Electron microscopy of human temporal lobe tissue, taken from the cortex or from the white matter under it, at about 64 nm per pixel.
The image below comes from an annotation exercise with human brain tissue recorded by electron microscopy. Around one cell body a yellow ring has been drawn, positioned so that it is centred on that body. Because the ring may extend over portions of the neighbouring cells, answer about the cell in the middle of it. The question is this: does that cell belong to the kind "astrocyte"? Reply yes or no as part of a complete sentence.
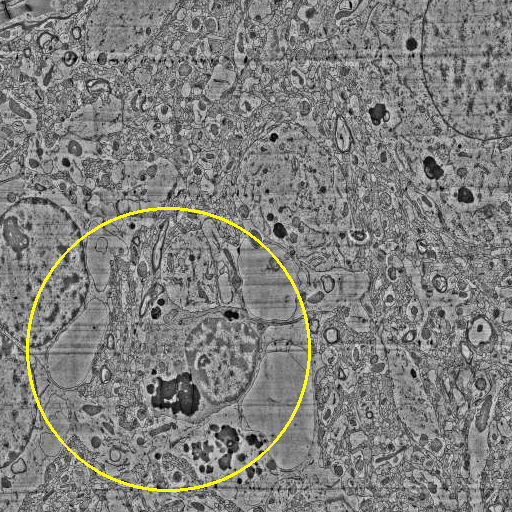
No, in the image the cell in the middle of the ring is of another kind.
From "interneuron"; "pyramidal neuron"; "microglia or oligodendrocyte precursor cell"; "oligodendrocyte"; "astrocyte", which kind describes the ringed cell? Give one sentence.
The correct answer is that the cell is an oligodendrocyte.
